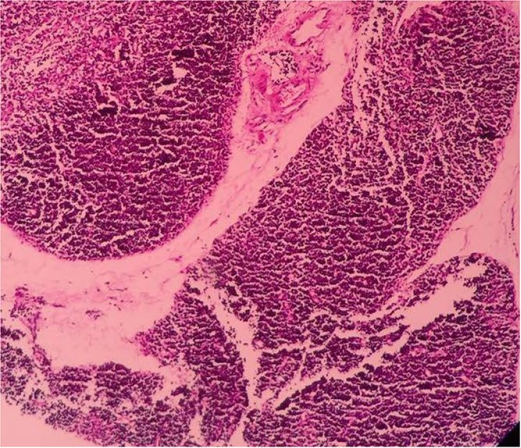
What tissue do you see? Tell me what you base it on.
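Thymus. Lobules packed with small, dark purple round nuclei. Lobules separated by pale pink connective tissue septa containing a vessel.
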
